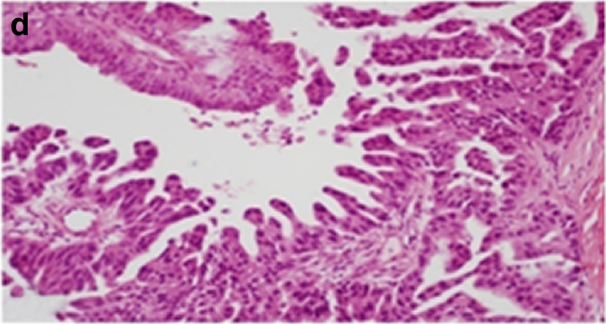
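Papillary fronds of tumor epithelium project into an open lumen, lined by crowded columnar cells. The cells have dark oval nuclei of somewhat varying size and pink cytoplasm, with thin fibrous cores within the fronds.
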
